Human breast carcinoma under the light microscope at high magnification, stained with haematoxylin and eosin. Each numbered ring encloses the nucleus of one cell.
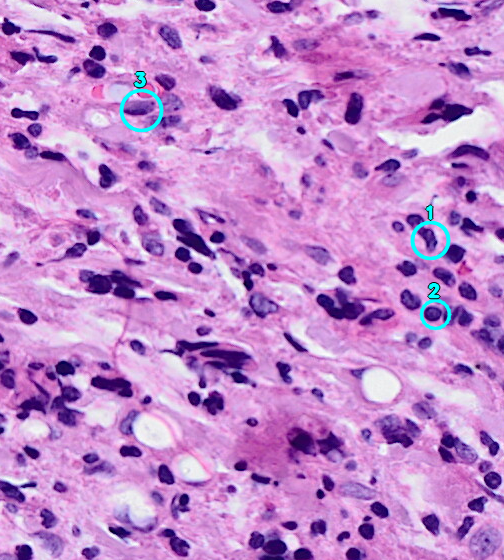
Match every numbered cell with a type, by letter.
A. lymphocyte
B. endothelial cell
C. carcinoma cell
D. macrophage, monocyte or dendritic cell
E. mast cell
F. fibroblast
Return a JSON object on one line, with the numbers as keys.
{"1": "A", "2": "A", "3": "B"}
